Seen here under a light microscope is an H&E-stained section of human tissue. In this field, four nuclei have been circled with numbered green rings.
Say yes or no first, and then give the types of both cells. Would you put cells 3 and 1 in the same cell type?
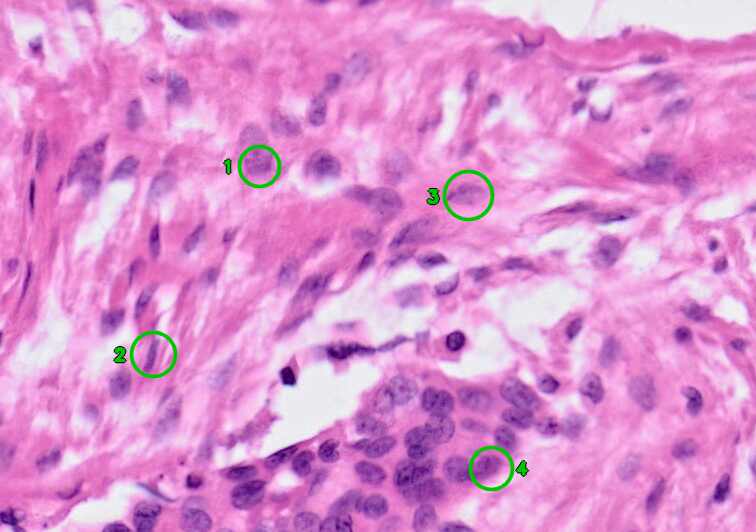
Yes, going by number, cells 3 and 1 are both fibroblasts.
